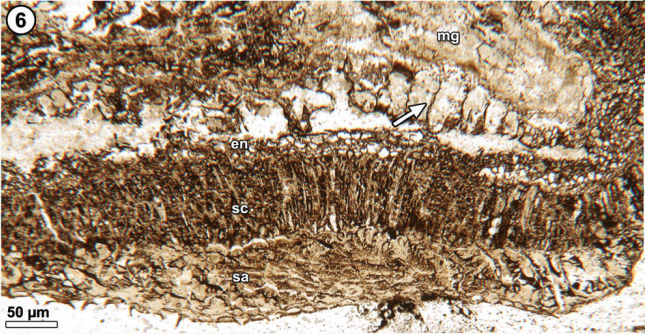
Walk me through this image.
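Section through a fossil seed integument with the megagametophyte above it. The lowest band, sarcotesta, is pale brown and loosely cellular. Above it lies the sclerotesta, a thick dark brown band of narrow, radially elongated cells packed side by side. Over this is a thin, paler band of endotesta.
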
